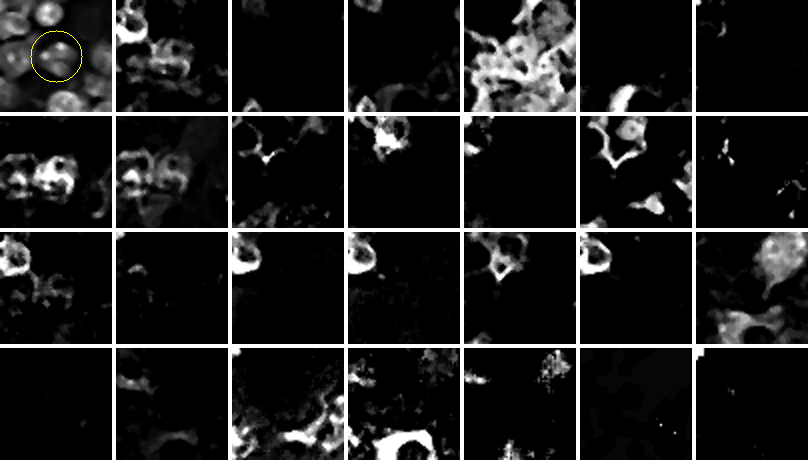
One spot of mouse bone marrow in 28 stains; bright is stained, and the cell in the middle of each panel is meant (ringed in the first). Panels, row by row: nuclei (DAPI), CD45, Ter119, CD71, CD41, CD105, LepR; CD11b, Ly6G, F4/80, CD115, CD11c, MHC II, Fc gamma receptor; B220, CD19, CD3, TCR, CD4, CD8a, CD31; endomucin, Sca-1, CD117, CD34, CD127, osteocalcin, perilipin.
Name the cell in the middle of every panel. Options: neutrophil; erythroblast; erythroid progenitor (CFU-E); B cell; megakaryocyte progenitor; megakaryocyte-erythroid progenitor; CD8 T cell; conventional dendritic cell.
neutrophil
